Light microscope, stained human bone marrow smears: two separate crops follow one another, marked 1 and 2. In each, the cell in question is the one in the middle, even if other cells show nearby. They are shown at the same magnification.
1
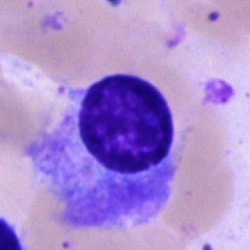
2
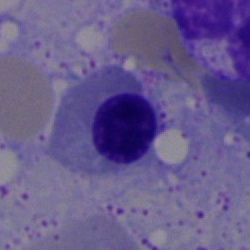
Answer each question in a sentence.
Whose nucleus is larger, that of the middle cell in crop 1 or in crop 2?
The nucleus in crop 1 is larger, with about 2 times the area of the one in crop 2.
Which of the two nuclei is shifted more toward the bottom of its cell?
The nucleus in crop 2 lies further toward the bottom of its cell.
